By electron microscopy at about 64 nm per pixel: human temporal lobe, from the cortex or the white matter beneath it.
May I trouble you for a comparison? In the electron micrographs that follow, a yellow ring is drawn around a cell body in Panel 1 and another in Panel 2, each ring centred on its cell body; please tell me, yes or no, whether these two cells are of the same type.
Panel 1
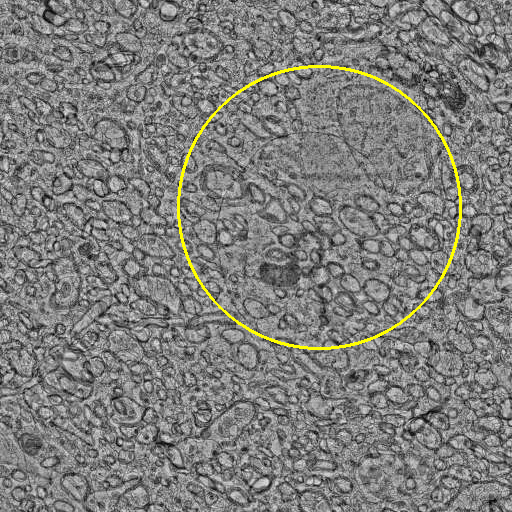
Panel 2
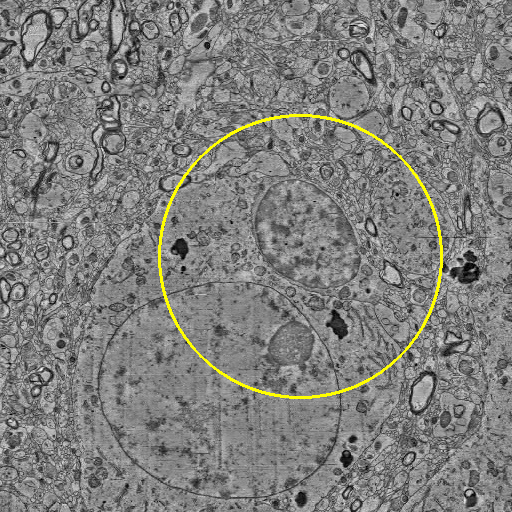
no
